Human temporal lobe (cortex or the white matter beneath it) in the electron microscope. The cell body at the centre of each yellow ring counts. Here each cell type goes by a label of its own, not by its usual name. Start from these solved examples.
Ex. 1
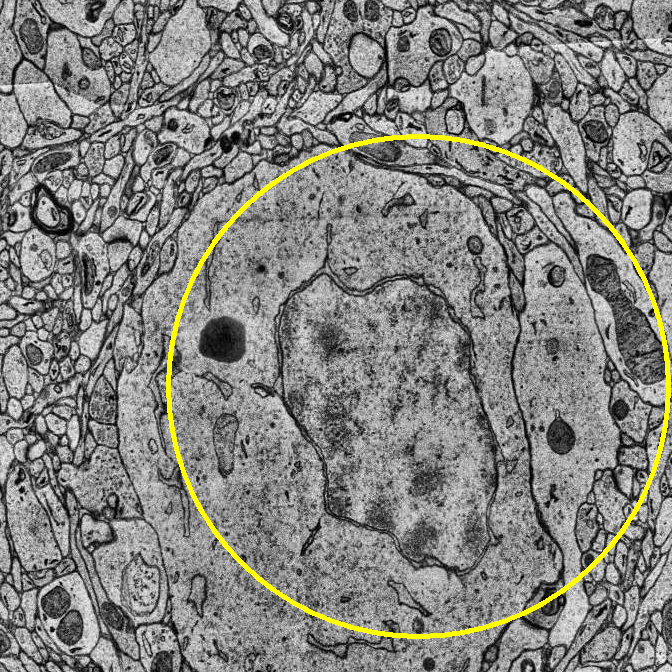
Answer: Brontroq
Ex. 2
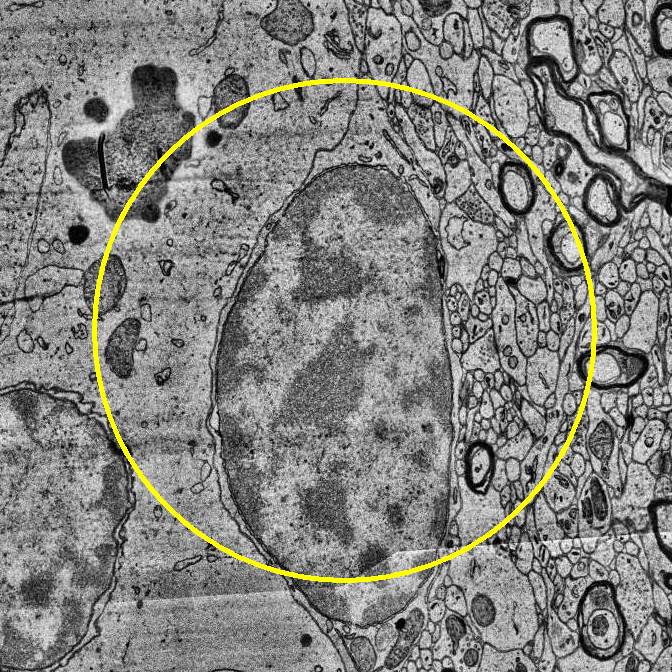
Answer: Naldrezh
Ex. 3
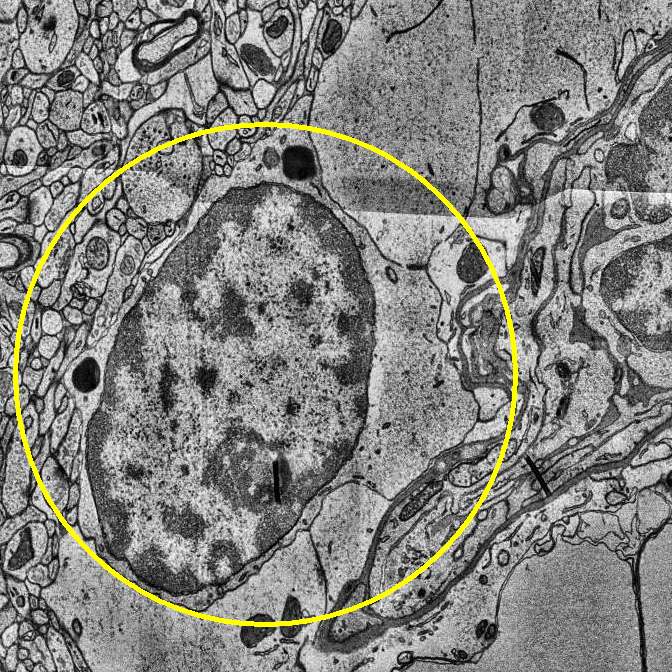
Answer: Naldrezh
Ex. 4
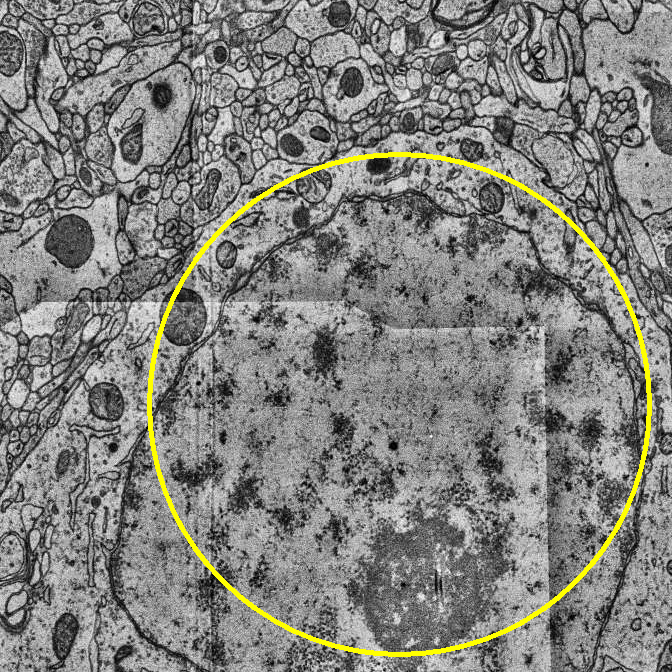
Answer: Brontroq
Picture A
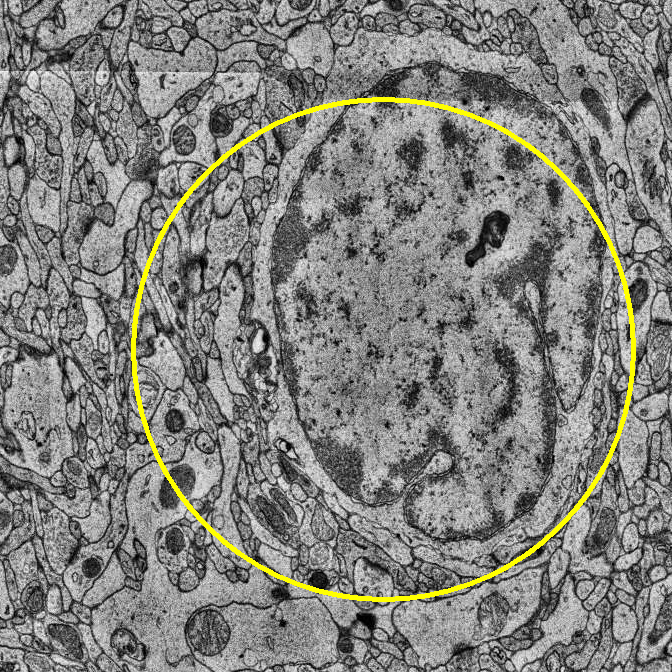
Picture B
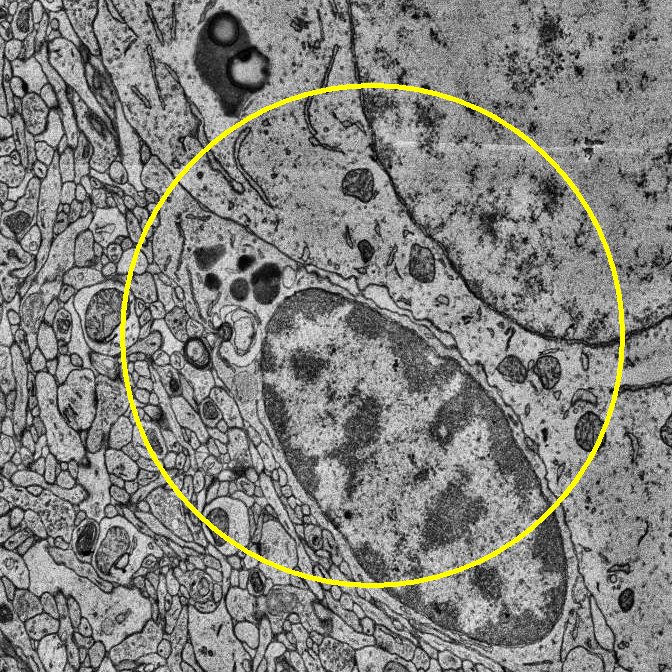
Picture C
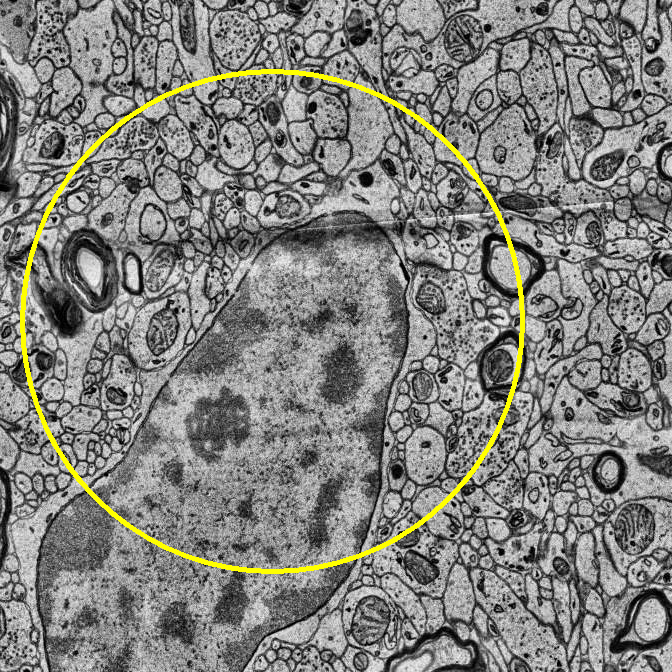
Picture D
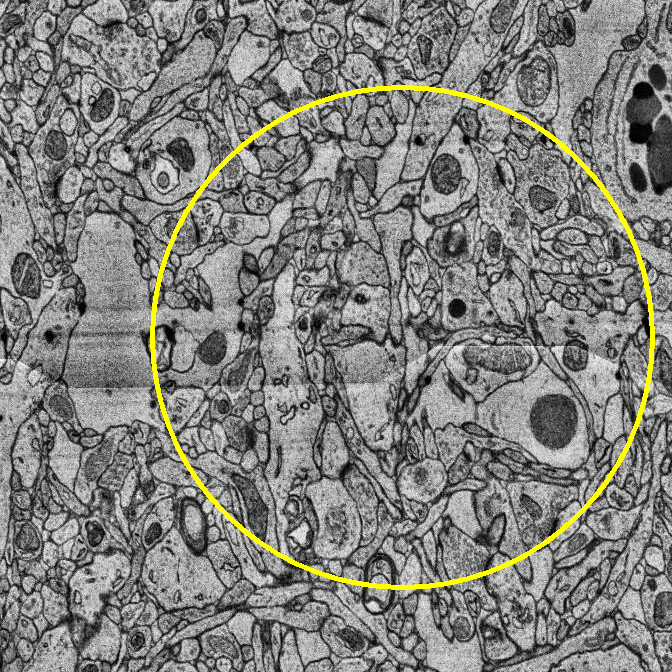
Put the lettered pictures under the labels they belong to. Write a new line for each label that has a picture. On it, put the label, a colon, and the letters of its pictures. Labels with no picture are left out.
Naldrezh: A, B, C, D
